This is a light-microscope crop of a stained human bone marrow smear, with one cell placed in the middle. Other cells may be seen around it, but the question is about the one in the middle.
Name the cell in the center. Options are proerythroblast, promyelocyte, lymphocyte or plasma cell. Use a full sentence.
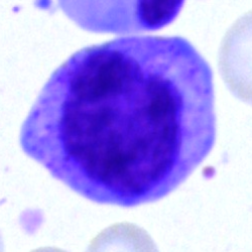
The middle of this crop is occupied by a promyelocyte.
